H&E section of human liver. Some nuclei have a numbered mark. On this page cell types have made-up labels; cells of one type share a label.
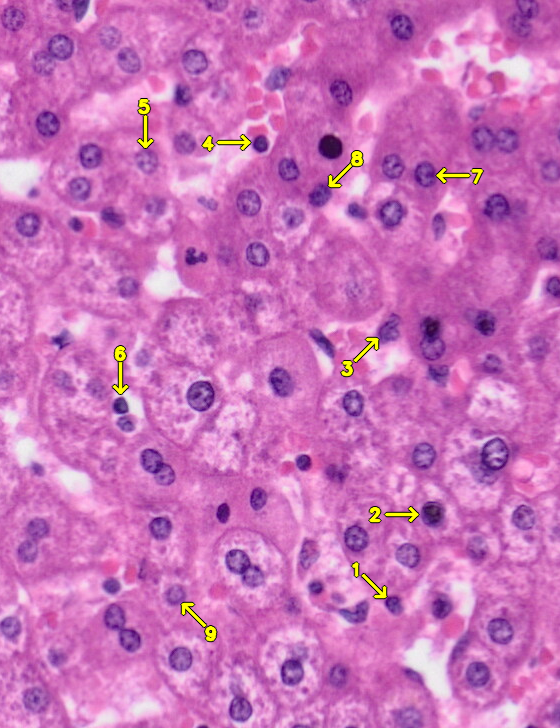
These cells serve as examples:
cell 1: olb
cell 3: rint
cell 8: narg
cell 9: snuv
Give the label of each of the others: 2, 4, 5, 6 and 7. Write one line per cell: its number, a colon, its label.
2: snuv
4: olb
5: snuv
6: olb
7: snuv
